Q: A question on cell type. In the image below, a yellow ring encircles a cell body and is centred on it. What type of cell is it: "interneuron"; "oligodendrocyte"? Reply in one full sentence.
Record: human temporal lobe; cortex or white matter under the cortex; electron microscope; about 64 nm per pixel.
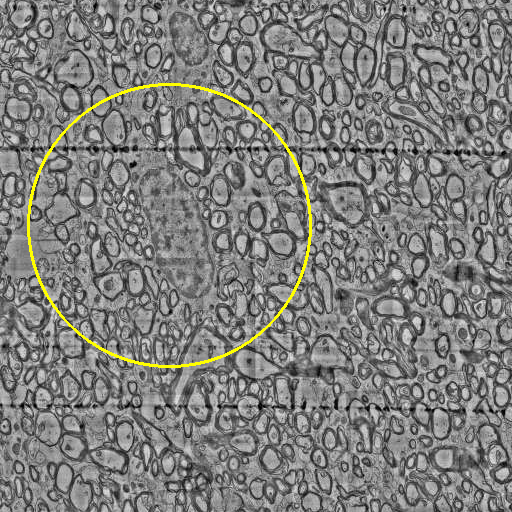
It is an oligodendrocyte whose cell body sits at the centre of the yellow ring in the image.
